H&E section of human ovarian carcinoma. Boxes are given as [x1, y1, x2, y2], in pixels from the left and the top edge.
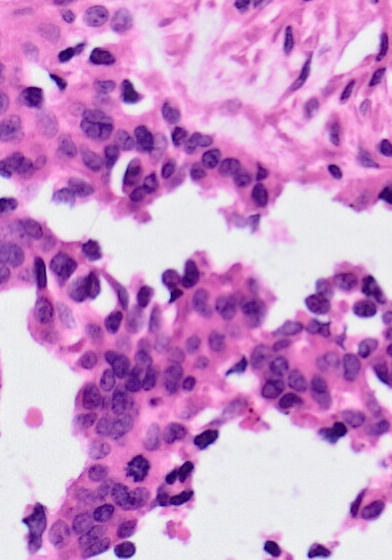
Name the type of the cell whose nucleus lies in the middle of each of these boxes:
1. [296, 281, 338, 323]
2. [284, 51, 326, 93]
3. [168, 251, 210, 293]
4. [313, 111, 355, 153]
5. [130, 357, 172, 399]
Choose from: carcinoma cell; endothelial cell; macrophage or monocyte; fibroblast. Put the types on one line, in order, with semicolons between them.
carcinoma cell; fibroblast; carcinoma cell; fibroblast; carcinoma cell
